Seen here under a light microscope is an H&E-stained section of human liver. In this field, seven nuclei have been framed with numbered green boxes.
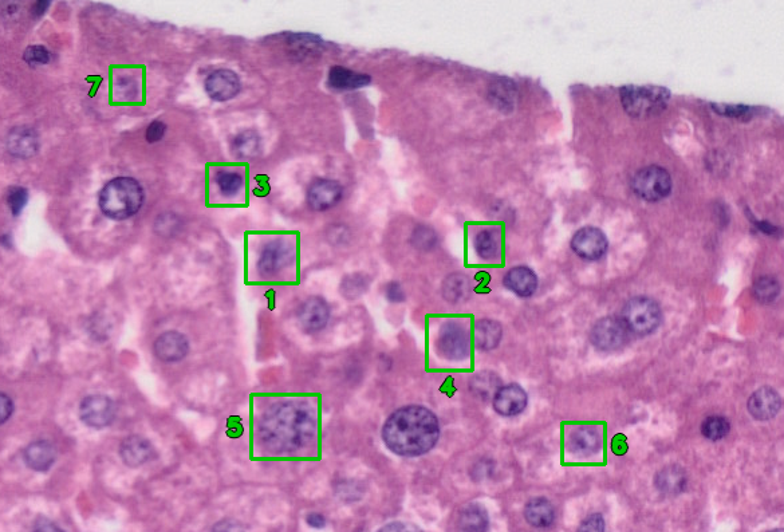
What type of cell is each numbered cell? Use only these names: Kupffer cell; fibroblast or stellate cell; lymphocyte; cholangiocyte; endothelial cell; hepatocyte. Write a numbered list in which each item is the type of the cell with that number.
1. Kupffer cell
2. Kupffer cell
3. fibroblast or stellate cell
4. endothelial cell
5. hepatocyte
6. hepatocyte
7. hepatocyte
